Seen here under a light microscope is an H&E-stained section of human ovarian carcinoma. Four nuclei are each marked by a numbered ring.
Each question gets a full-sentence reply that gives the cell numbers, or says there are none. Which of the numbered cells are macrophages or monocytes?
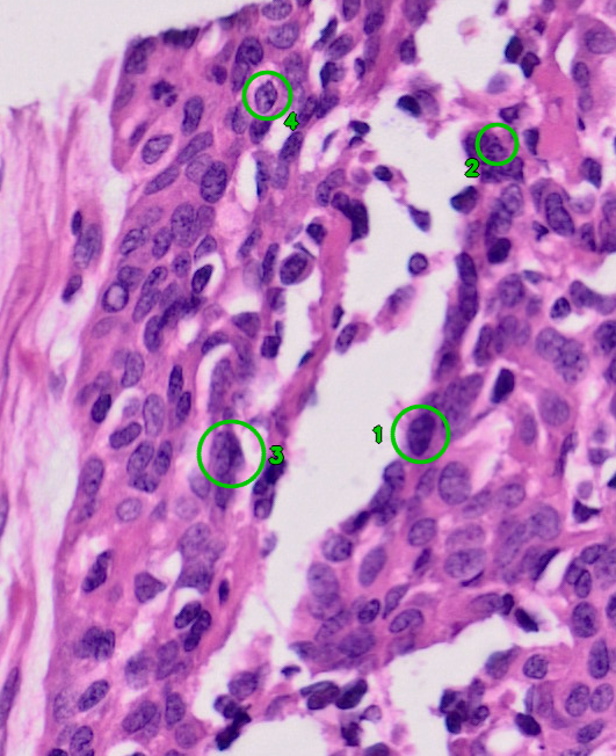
Cell 4 is a macrophage or monocyte, while every other numbered cell is not.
